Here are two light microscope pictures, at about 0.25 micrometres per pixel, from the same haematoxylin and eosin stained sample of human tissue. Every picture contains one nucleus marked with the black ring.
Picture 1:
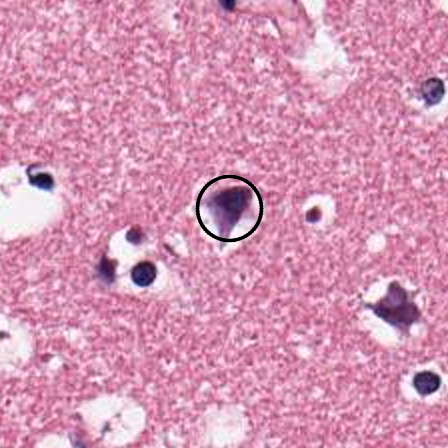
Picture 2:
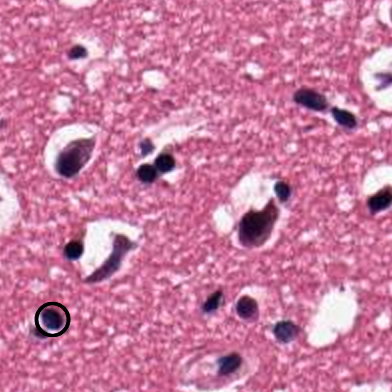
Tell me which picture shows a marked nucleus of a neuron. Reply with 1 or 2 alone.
1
